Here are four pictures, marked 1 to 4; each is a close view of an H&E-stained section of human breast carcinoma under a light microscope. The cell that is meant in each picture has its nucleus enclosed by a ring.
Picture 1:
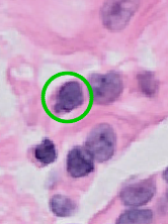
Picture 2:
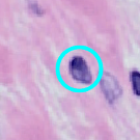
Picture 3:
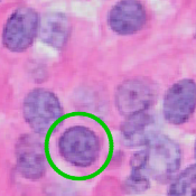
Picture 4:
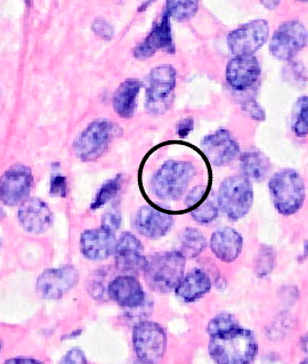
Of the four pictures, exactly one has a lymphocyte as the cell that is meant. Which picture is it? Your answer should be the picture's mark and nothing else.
2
